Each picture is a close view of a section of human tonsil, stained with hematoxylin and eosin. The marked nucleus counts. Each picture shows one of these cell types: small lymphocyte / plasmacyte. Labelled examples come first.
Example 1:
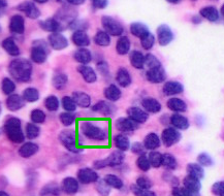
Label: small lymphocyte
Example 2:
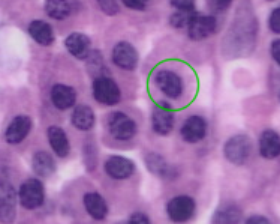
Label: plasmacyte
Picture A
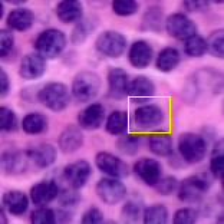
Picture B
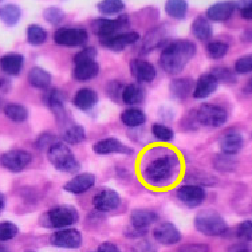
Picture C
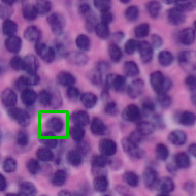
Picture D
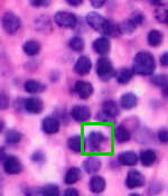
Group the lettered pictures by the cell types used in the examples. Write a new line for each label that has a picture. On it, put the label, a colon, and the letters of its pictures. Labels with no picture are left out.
small lymphocyte: A, C, D
plasmacyte: B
